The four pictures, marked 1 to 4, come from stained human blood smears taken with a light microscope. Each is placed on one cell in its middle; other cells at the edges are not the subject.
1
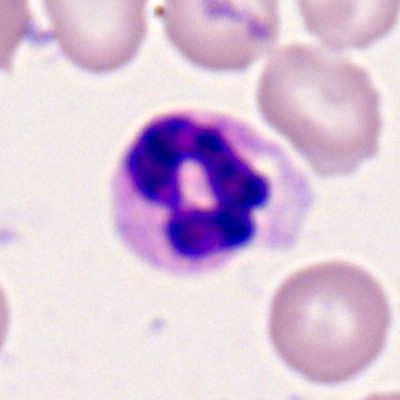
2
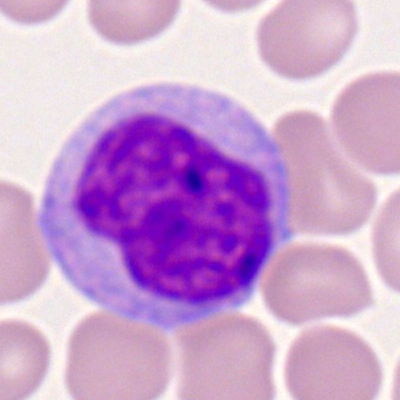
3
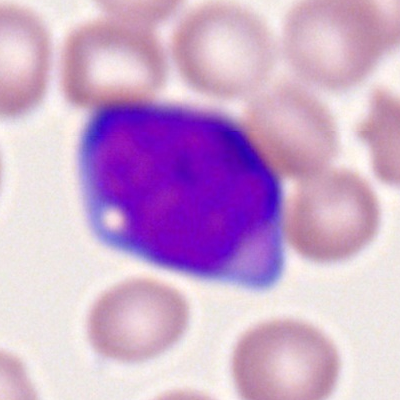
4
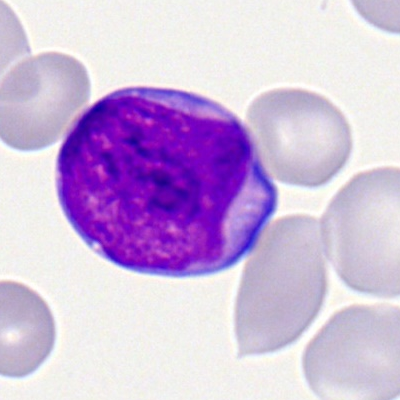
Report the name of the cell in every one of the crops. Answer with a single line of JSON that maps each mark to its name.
{"1": "segmented neutrophil", "2": "monocyte", "3": "myeloblast", "4": "myeloblast"}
